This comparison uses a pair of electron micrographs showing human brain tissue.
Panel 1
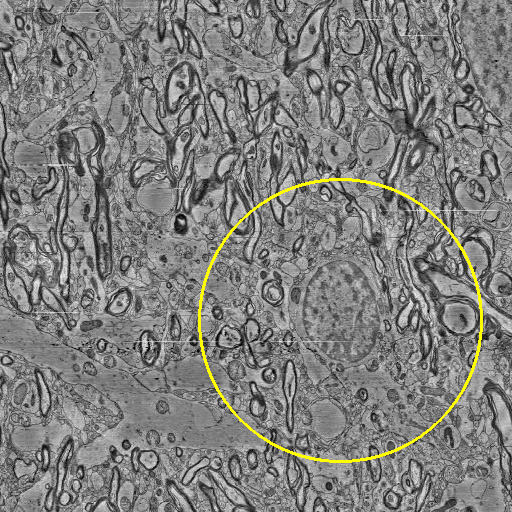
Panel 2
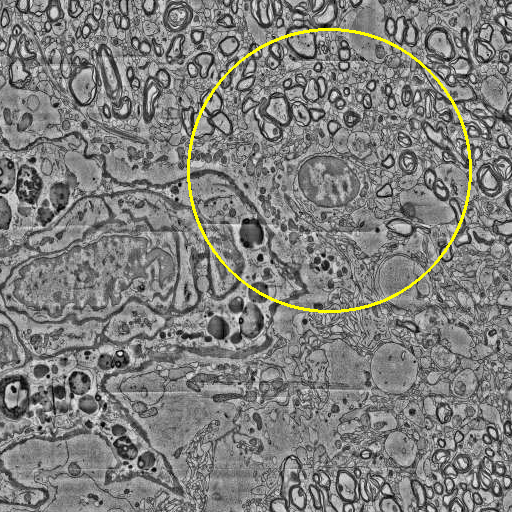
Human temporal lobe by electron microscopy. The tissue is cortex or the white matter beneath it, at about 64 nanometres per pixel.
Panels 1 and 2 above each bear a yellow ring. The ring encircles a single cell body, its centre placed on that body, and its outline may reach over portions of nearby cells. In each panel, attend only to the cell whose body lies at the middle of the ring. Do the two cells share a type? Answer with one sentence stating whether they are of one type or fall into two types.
In Panel 1 and Panel 2, the cells at the centres of the rings fall into two types.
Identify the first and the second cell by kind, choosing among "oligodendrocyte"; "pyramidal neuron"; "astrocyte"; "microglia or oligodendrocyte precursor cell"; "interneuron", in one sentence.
The one in the first picture is an oligodendrocyte, while the one in the second is a microglial cell or oligodendrocyte precursor cell.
